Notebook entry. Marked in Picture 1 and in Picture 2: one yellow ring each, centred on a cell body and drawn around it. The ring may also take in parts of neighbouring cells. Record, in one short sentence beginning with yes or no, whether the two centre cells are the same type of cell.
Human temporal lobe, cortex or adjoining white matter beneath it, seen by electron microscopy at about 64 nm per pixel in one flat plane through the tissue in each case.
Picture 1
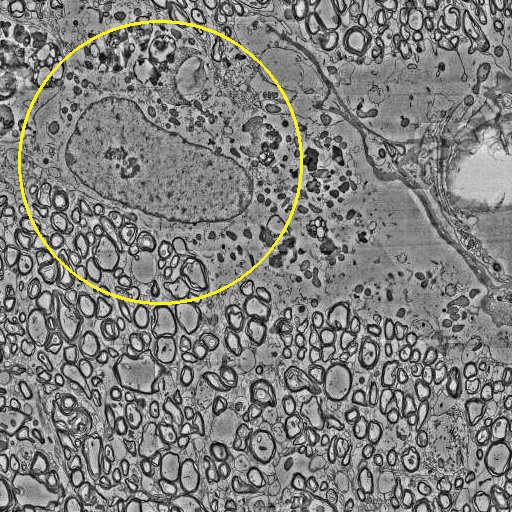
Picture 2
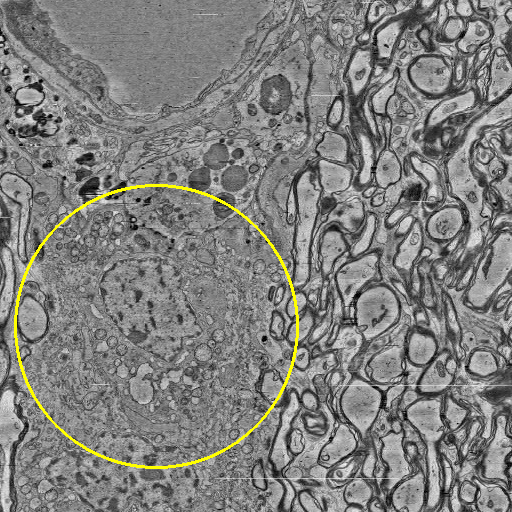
Yes, both are the same type of cell.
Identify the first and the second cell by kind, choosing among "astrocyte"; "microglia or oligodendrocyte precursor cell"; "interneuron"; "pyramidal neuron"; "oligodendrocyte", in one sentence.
The cell in the first picture is an astrocyte, and so is the one in the second.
